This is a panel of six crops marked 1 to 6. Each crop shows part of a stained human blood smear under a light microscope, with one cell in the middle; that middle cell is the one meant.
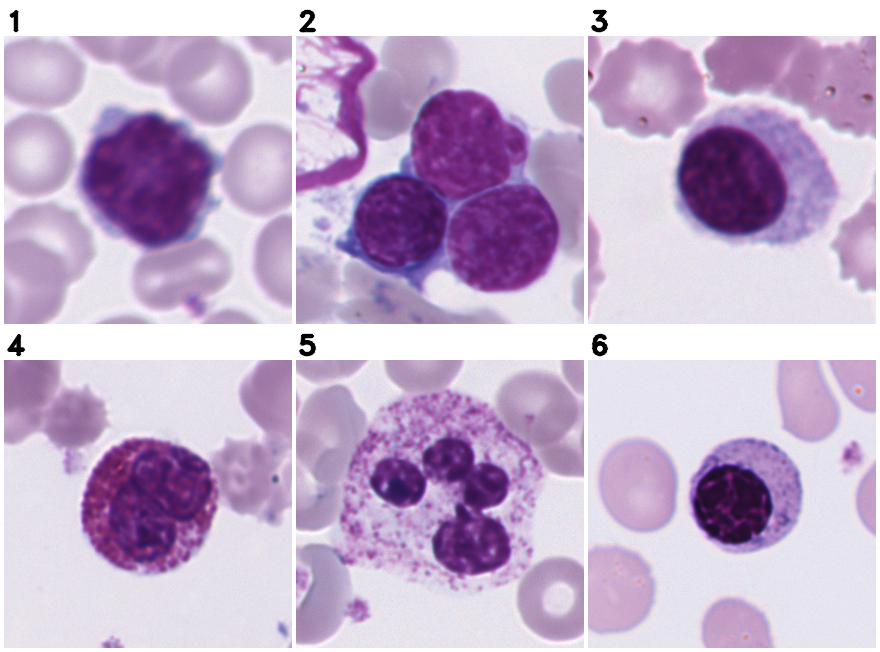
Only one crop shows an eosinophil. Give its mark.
4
